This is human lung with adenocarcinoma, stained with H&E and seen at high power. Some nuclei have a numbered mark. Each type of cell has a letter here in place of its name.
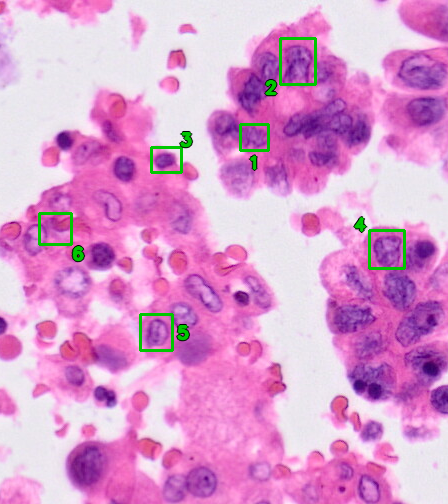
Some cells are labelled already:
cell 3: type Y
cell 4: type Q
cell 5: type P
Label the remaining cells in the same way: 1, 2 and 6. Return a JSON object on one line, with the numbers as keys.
{"1": "type Q", "2": "type Q", "6": "type P"}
